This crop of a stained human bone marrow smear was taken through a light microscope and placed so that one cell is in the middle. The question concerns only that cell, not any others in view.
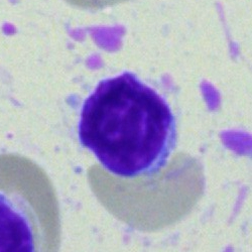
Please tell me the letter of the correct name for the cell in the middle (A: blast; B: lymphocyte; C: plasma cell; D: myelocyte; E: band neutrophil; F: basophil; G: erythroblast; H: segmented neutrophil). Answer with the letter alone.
B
